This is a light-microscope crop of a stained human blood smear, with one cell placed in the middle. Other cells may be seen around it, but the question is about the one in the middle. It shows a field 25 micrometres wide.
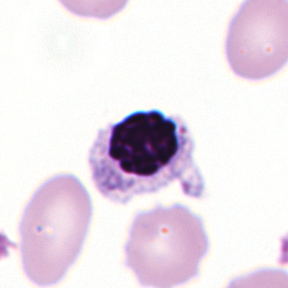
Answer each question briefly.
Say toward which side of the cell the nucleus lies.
top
